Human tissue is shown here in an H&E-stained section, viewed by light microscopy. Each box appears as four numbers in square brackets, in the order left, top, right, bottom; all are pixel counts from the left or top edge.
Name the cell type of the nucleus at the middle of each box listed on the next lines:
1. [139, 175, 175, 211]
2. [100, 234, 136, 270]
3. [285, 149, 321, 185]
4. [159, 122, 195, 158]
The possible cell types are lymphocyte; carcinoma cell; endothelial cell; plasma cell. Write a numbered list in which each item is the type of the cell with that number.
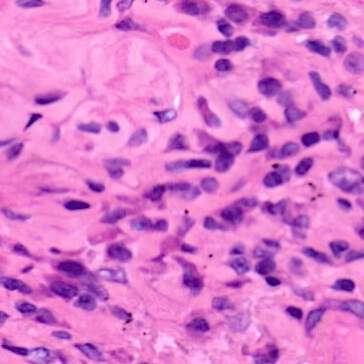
1. plasma cell
2. plasma cell
3. lymphocyte
4. plasma cell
